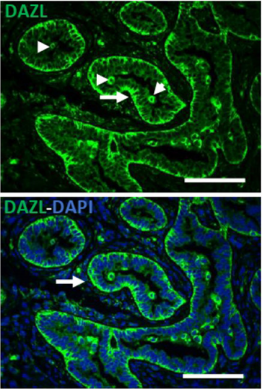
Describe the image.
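Sertoli cells form a bright green lining along the cords, and round pre-spermatogonial cells toward the cord centre are outlined in green. Blue nuclei fill the cords and the interstitium between them.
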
